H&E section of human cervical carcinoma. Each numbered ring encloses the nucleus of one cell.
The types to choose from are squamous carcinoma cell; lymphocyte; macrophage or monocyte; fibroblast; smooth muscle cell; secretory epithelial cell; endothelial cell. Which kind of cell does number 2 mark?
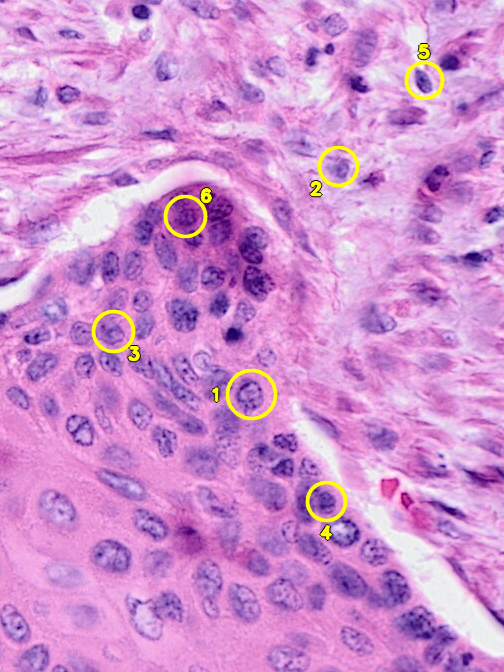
fibroblast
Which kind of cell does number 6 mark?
squamous carcinoma cell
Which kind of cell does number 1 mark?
squamous carcinoma cell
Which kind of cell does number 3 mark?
squamous carcinoma cell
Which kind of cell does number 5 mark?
lymphocyte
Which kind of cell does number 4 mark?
squamous carcinoma cell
